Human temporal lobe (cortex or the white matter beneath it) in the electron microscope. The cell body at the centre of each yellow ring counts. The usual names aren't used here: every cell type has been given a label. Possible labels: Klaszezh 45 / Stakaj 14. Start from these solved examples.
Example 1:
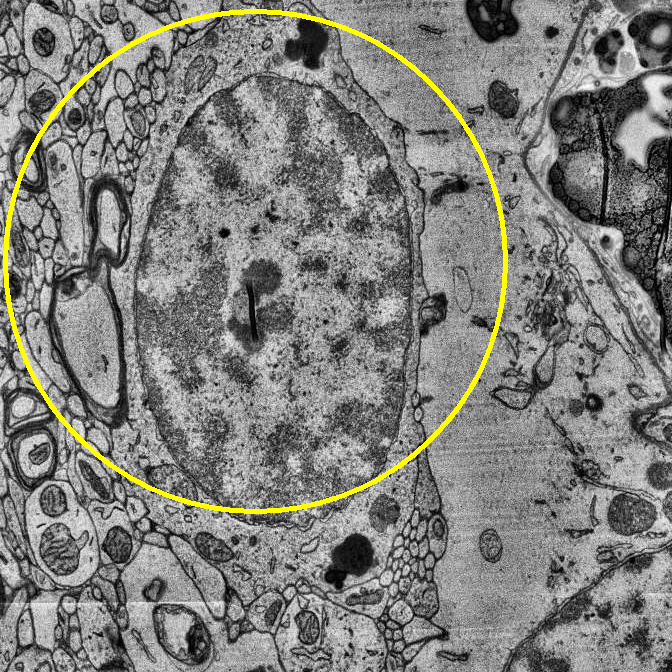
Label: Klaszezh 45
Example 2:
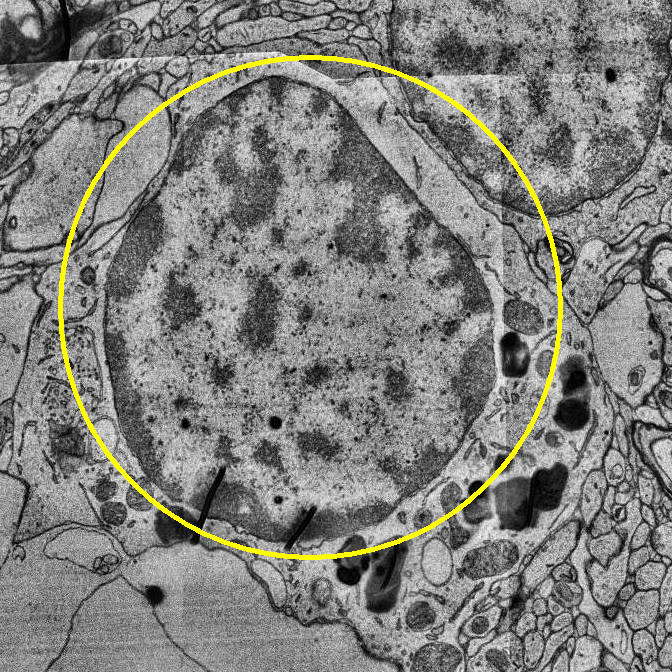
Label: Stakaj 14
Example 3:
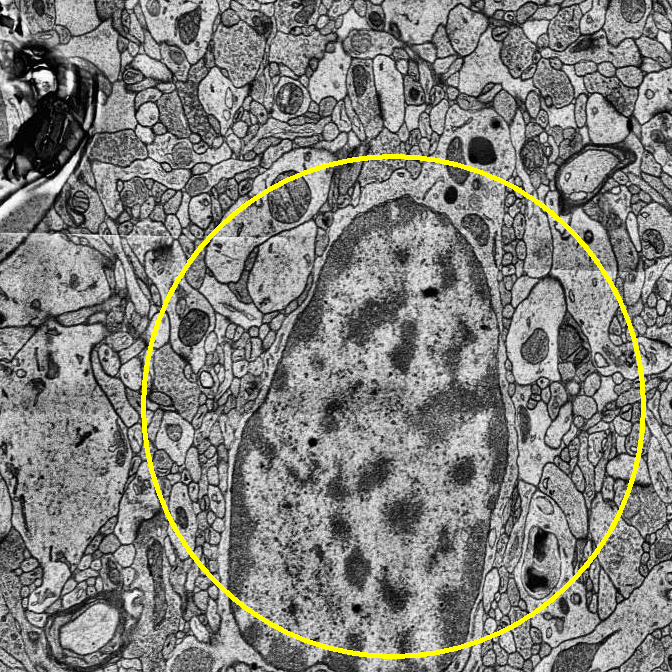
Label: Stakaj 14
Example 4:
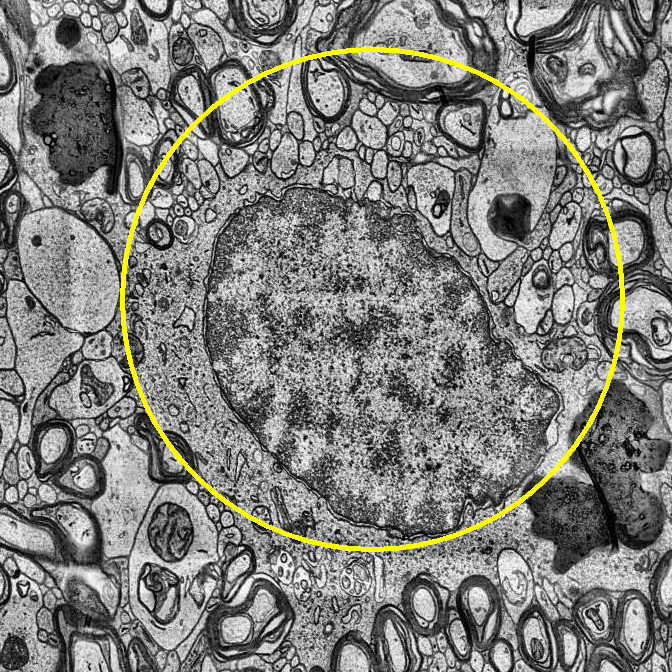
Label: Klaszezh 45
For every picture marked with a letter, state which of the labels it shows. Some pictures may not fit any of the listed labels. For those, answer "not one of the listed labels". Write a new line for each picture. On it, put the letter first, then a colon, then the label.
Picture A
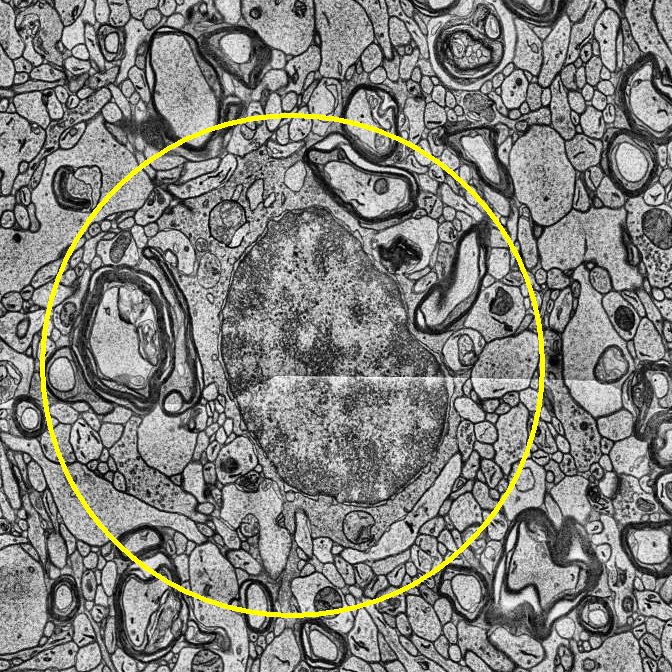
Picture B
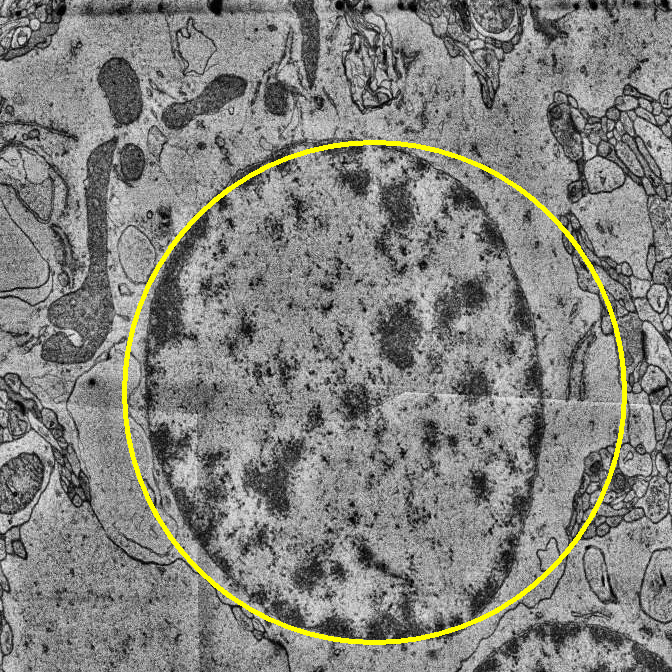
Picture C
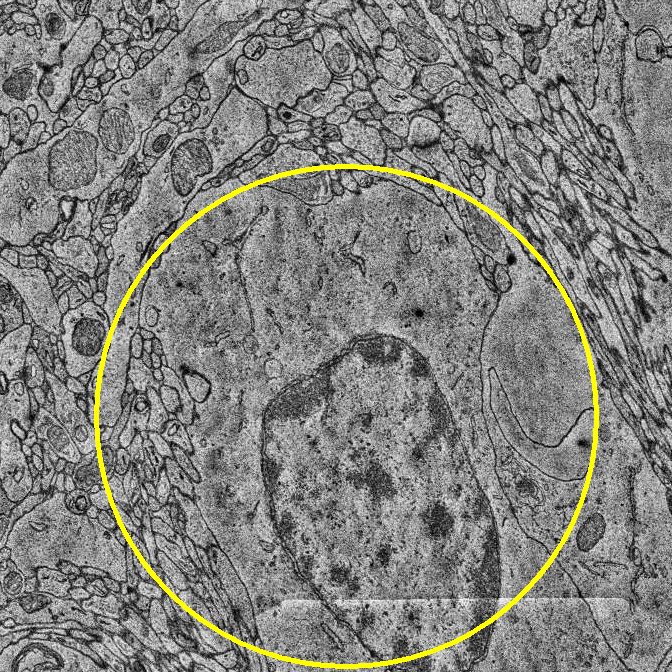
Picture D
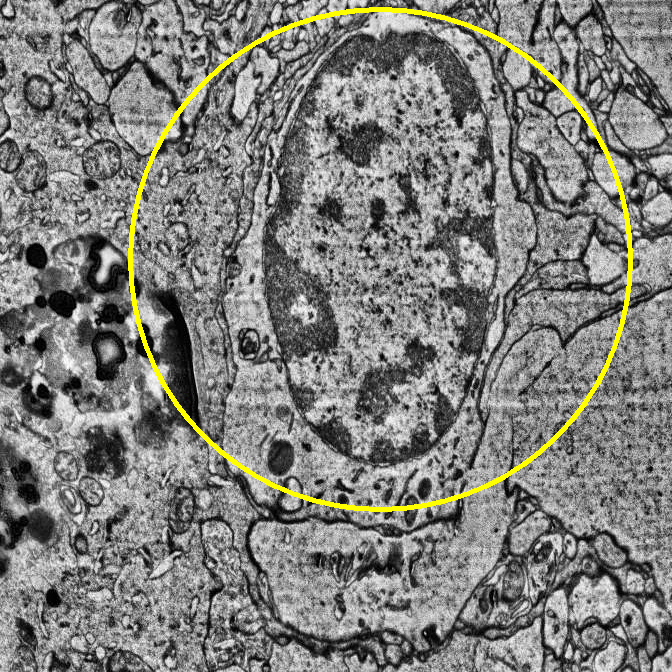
A: Klaszezh 45
B: not one of the listed labels
C: not one of the listed labels
D: Stakaj 14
